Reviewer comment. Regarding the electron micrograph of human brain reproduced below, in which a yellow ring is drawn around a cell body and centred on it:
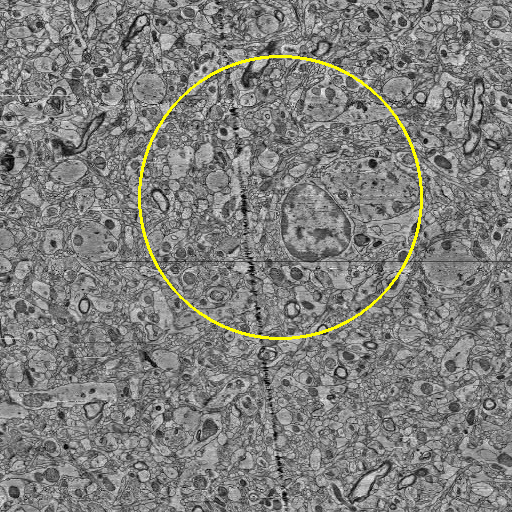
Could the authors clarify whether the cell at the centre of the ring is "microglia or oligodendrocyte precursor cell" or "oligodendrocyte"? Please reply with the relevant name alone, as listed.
microglia or oligodendrocyte precursor cell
